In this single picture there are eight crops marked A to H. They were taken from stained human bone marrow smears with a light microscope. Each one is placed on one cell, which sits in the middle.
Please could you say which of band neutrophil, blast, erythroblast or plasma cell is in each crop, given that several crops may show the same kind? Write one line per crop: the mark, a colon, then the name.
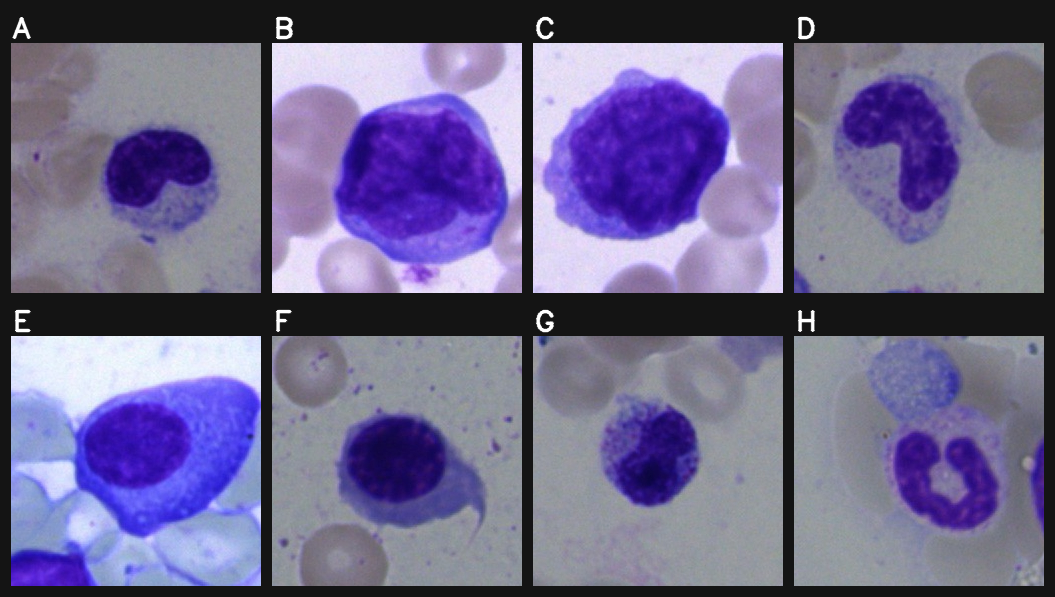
A: band neutrophil
B: blast
C: blast
D: band neutrophil
E: plasma cell
F: erythroblast
G: band neutrophil
H: band neutrophil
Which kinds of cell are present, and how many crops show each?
band neutrophil: 4
blast: 2
plasma cell: 1
erythroblast: 1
